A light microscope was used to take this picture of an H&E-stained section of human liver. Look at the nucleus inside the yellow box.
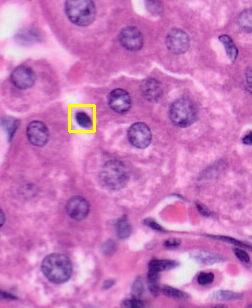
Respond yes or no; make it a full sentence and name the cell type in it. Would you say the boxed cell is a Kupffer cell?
No, the boxed cell is classed as a lymphocyte, not a Kupffer cell.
